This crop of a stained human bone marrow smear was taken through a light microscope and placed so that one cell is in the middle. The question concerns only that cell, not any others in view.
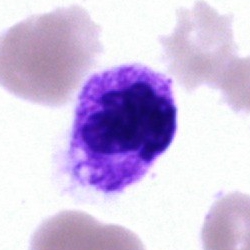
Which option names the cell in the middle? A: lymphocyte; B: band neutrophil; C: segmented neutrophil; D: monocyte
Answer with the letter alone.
C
